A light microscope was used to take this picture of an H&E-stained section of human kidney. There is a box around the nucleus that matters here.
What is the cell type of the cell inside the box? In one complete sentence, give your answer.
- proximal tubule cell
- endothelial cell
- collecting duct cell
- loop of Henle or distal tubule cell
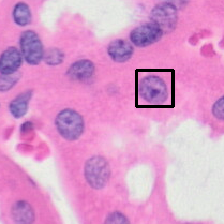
Cytologically, the cell inside the box is to be regarded as a proximal tubule cell.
